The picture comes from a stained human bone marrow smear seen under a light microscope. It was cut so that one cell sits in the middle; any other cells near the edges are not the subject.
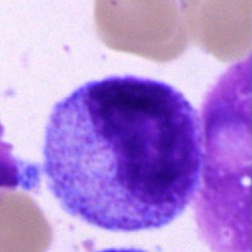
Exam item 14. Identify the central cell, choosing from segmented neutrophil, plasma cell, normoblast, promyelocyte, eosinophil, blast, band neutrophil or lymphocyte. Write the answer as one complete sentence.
For this crop, the central cell is a promyelocyte.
